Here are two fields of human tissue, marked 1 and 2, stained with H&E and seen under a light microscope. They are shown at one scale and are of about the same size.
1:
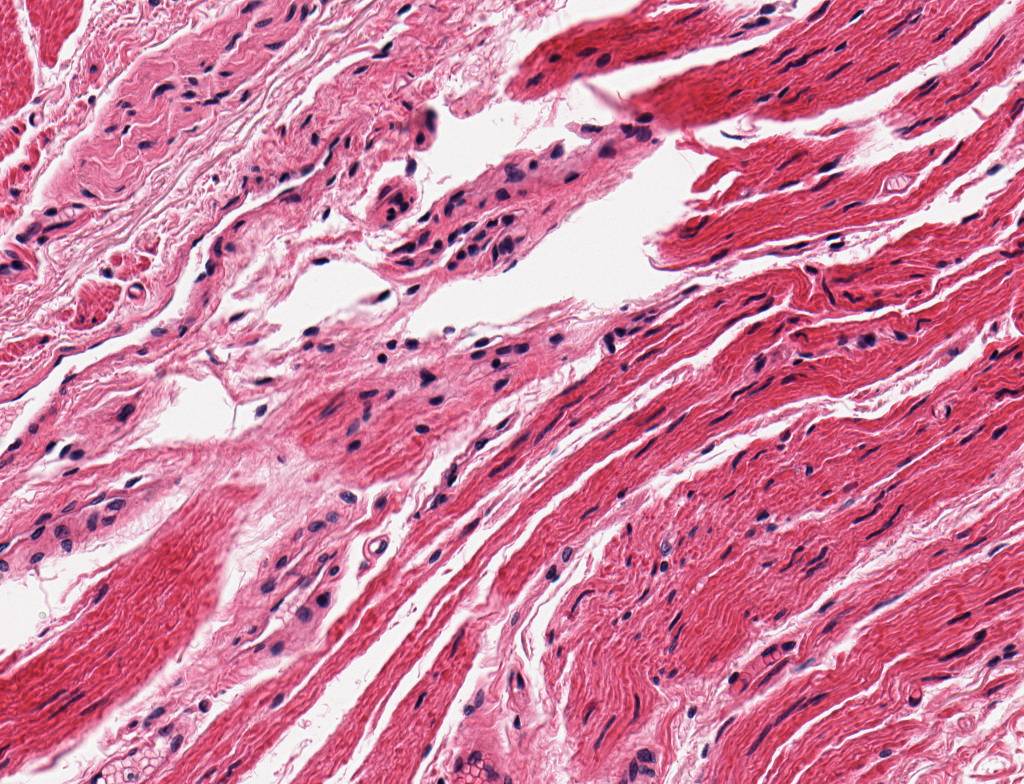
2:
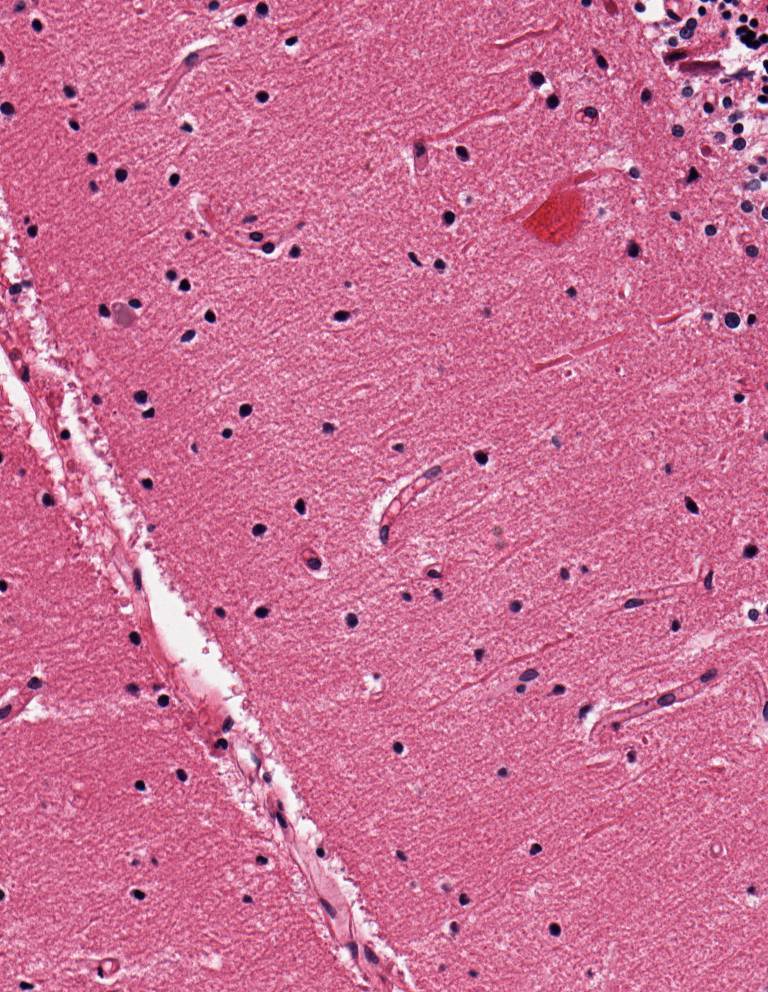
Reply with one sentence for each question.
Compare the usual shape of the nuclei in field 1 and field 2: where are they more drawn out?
The nuclei are more elongated in field 1.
